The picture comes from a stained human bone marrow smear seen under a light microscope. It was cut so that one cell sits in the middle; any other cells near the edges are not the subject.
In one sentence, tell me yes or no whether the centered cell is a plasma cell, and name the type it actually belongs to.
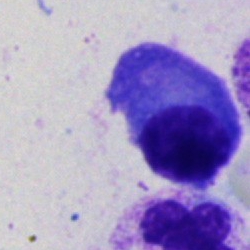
Yes, it is a plasma cell that lies in the middle.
